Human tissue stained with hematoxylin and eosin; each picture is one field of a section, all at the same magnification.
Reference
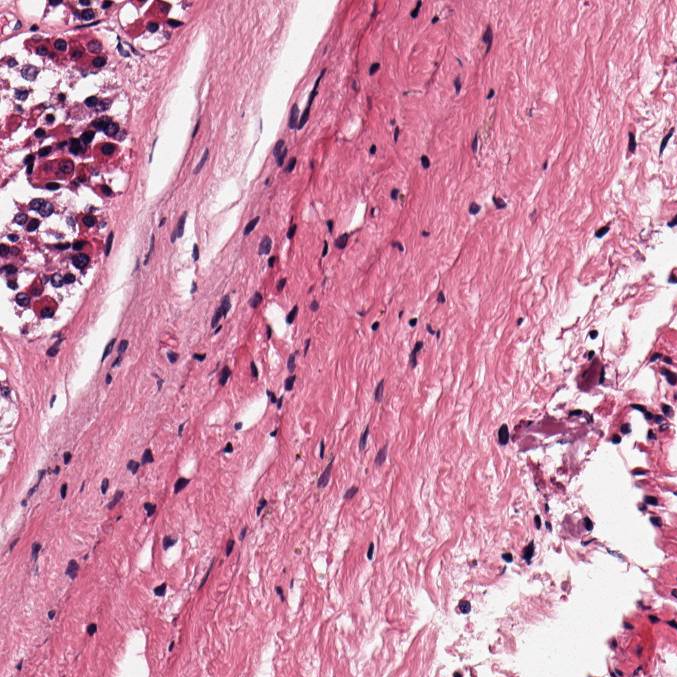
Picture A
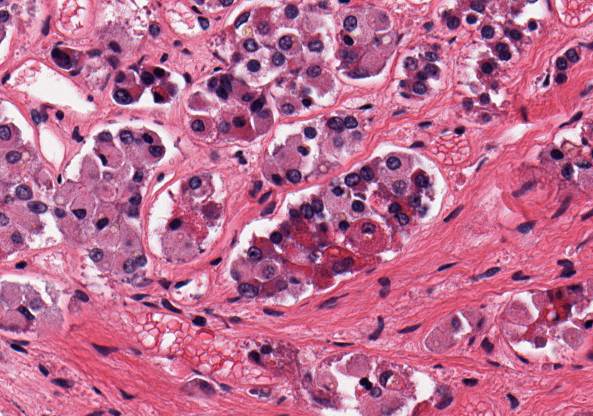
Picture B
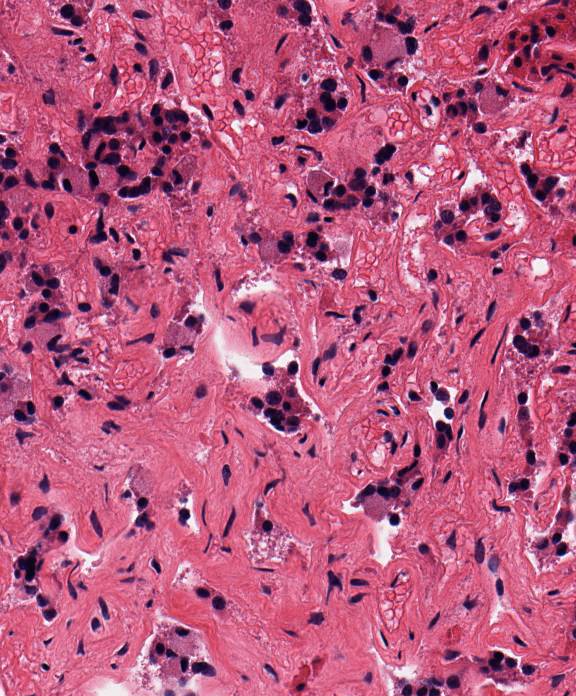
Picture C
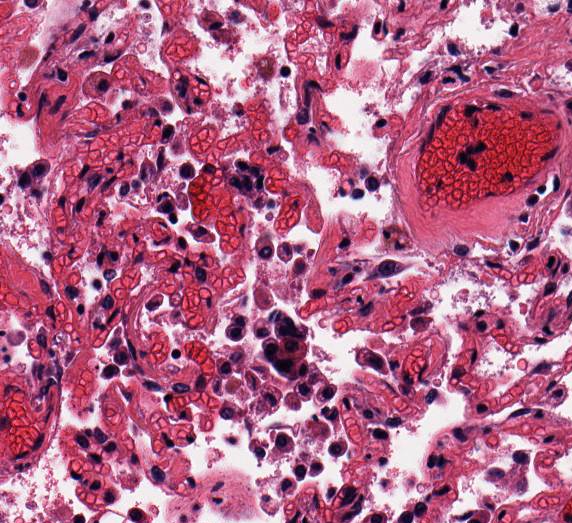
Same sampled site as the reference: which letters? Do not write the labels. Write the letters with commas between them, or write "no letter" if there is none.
A, B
